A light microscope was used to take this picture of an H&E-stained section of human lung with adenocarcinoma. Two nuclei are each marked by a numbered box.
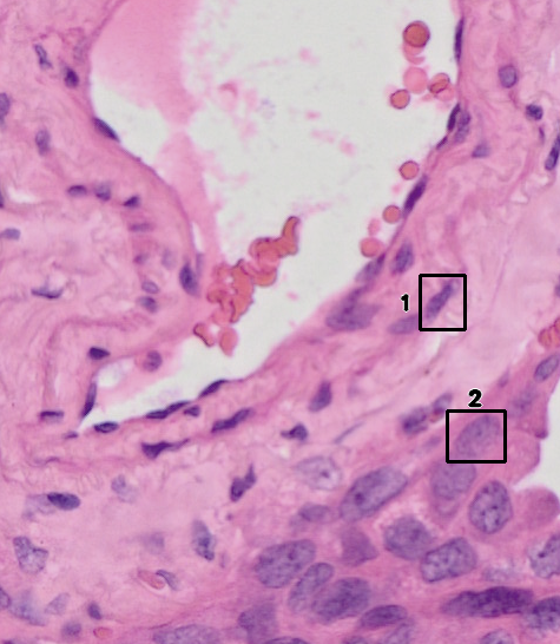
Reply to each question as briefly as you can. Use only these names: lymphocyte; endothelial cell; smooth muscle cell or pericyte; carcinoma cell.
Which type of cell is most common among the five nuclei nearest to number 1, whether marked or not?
endothelial cell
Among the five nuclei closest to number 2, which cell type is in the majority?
carcinoma cell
